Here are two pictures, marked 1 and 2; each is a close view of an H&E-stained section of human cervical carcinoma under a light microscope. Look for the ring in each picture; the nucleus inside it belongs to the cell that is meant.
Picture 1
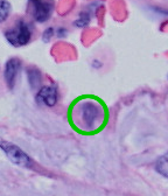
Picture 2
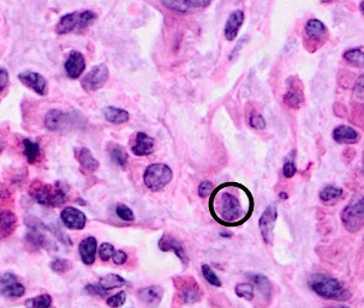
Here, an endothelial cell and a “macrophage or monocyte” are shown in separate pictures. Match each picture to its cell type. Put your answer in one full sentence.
Picture 1 shows an endothelial cell and picture 2 shows a “macrophage or monocyte”.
